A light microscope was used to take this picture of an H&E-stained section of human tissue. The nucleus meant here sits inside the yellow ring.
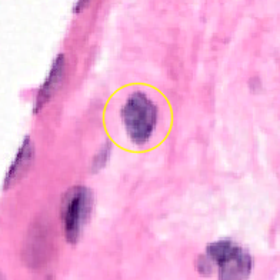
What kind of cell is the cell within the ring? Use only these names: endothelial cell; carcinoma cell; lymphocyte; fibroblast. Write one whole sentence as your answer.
Assigned to a cell type, the cell within the ring is a lymphocyte.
